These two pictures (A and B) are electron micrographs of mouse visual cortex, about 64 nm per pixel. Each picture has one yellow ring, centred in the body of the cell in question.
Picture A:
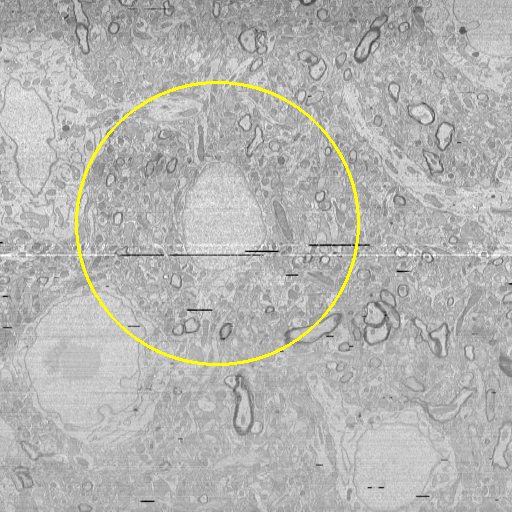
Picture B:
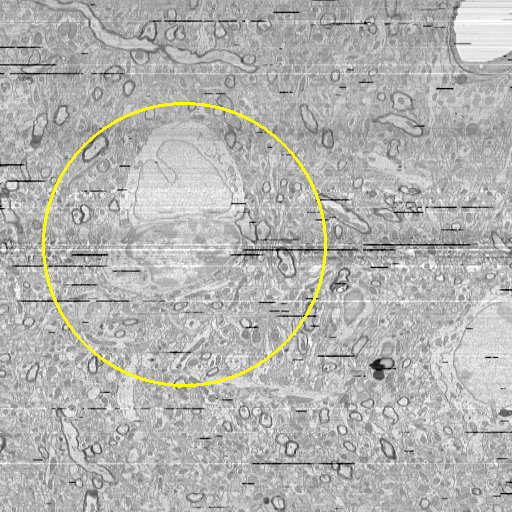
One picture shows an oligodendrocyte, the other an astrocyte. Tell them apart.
The cell in picture A is an astrocyte, and the one in picture B is an oligodendrocyte.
